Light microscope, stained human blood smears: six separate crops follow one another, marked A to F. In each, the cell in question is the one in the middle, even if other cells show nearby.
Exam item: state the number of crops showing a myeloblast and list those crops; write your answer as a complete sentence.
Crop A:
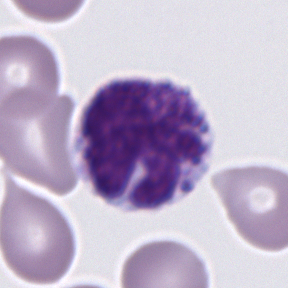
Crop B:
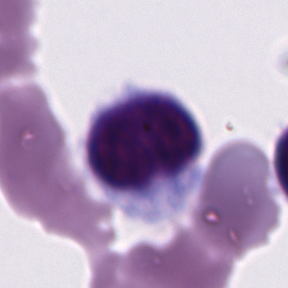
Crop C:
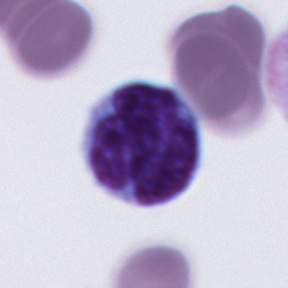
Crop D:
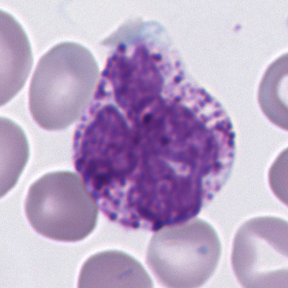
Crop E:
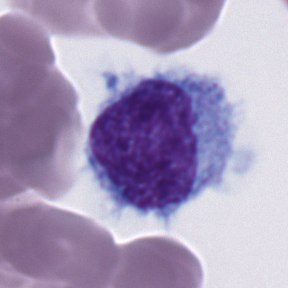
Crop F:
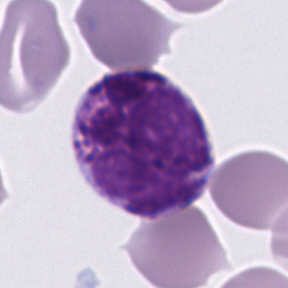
Zero is the tally, for none of the crops contains myeloblasts.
